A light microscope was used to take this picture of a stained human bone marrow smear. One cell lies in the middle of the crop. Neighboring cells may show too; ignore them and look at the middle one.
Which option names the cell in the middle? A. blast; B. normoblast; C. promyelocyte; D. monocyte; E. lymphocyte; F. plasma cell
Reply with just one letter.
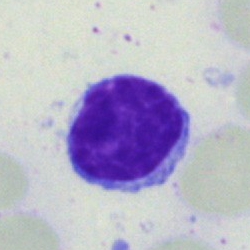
E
